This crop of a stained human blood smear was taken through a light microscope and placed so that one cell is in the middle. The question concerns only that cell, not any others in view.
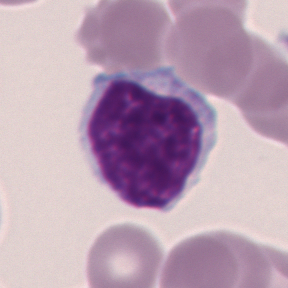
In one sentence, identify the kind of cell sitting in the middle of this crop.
The cell at the middle of the frame should be recorded as a large granular lymphocyte.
